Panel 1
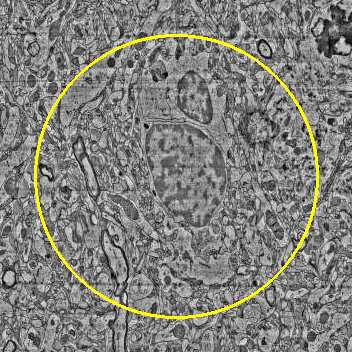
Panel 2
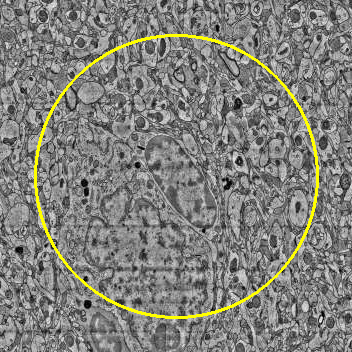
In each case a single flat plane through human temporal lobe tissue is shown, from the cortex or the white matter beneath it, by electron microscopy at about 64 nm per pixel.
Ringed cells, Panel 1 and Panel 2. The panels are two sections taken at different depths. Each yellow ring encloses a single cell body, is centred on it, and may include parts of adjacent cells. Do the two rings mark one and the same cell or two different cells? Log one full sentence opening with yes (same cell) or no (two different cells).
No, the first ring and the second ring mark different cells.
